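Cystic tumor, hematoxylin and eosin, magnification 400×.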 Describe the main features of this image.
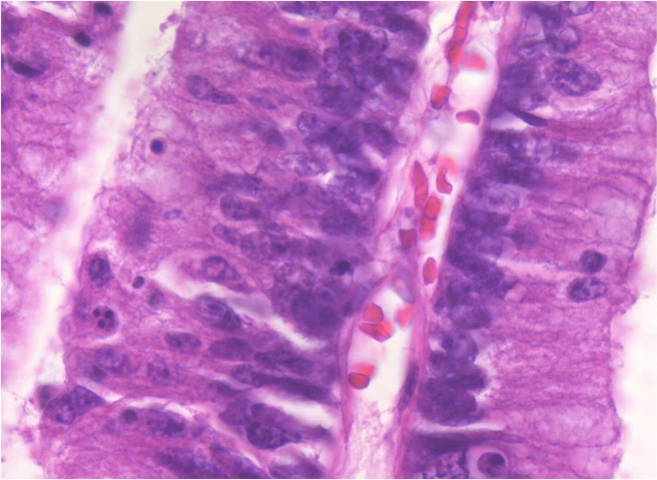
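Tall columnar atypical epithelial cells line narrow fibrovascular stromal cores, and the cores contain bright red blood cells. The nuclei are enlarged, oval and deeply purple, and some show distinct nucleoli. The nuclei are crowded and stacked at different heights instead of lining up along the base, so the normal polarity is lost. The cytoplasm is pale pink to lilac and finely fibrillar, and it is paler toward the luminal surface.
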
